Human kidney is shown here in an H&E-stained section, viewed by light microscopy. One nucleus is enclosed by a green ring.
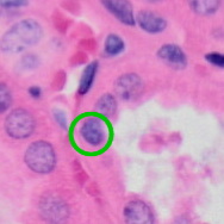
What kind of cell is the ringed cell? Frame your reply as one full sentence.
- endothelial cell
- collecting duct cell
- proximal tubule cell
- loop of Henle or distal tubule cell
The identity of the ringed cell: it is a loop of Henle or distal tubule cell.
